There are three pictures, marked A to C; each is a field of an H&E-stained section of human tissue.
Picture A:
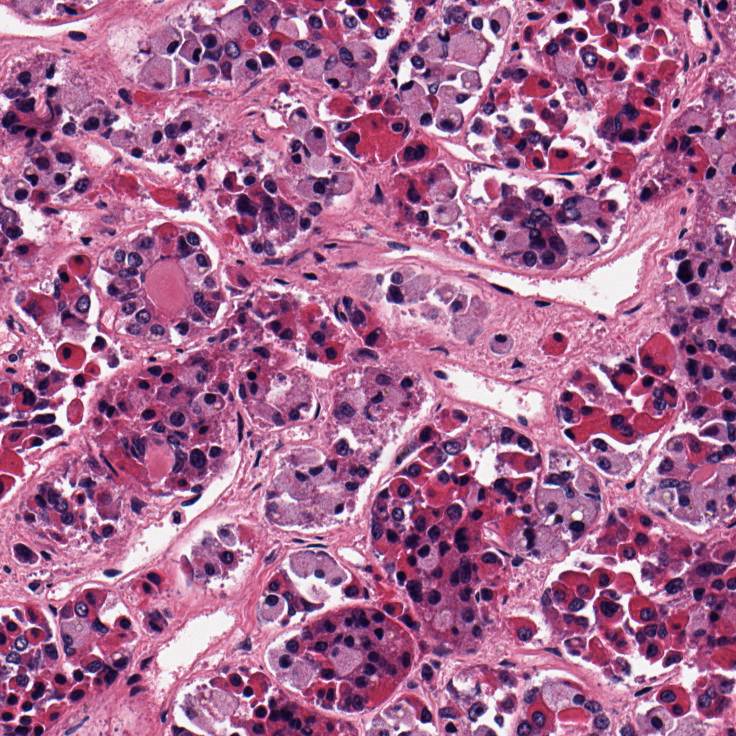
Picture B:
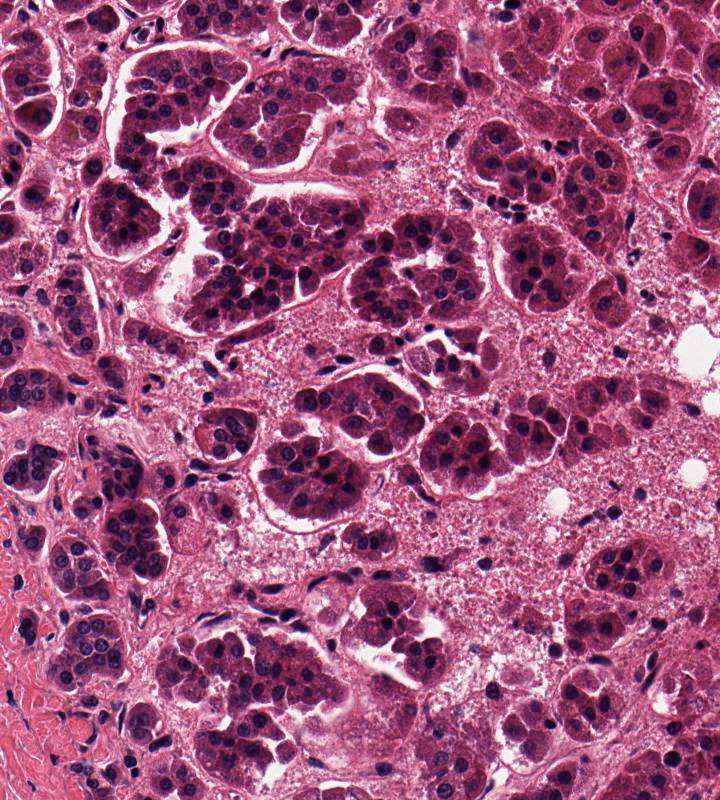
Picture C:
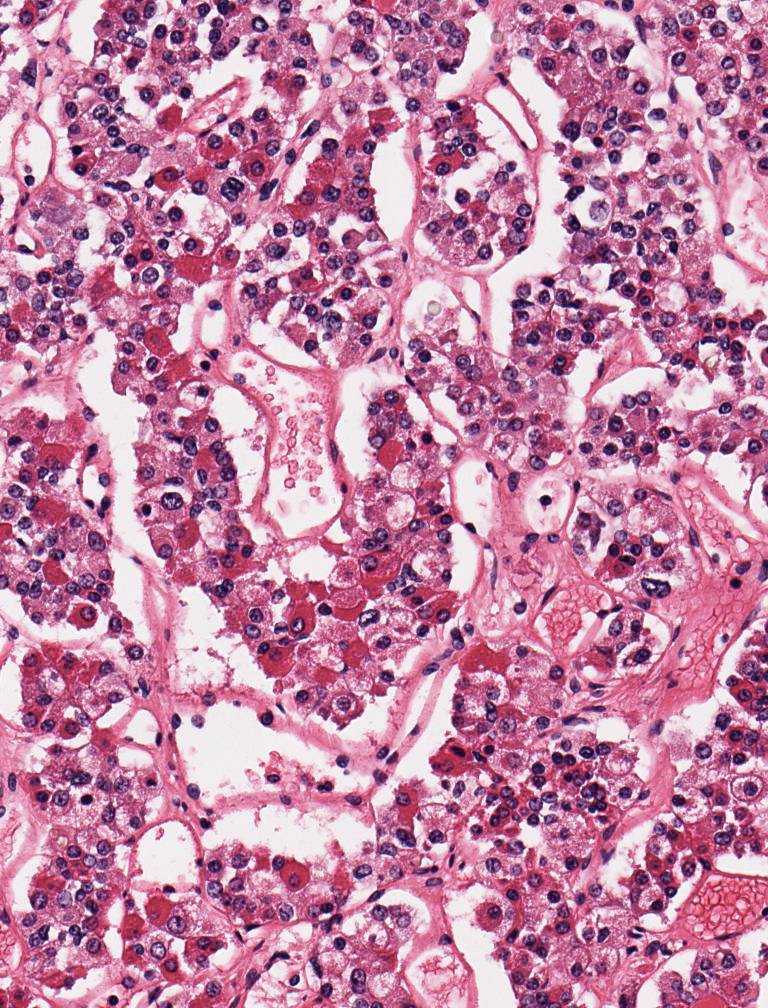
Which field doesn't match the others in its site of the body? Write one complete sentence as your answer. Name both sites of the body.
All pictures except B come from the pituitary; picture B comes from the adrenal gland.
